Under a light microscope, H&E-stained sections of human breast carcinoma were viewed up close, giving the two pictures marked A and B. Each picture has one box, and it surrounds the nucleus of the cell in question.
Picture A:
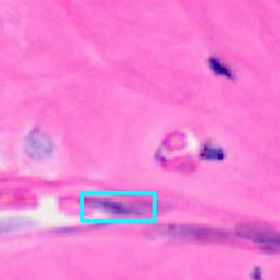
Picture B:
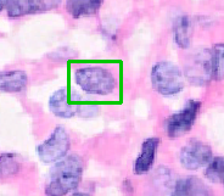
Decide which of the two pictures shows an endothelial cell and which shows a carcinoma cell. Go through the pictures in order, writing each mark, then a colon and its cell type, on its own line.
A: endothelial cell
B: carcinoma cell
